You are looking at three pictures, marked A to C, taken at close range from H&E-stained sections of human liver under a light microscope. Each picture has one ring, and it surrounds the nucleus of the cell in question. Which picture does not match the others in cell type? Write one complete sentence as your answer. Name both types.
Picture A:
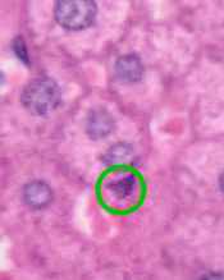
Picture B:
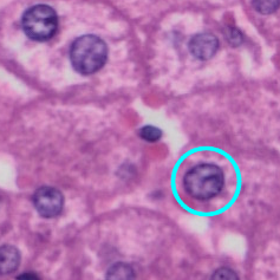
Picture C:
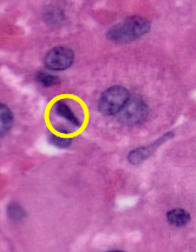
Unlike the rest, which show “fibroblasts or stellate cells”, picture B shows a hepatocyte.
